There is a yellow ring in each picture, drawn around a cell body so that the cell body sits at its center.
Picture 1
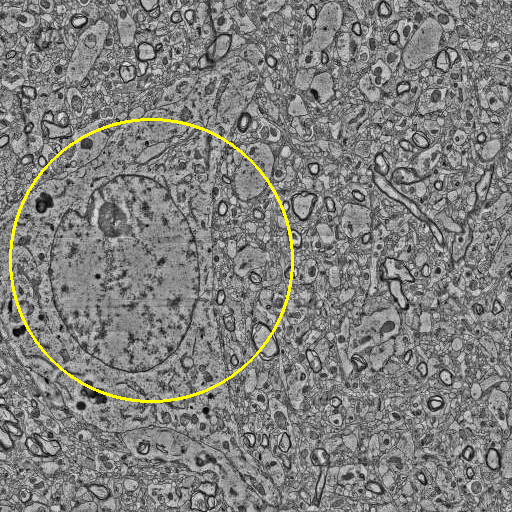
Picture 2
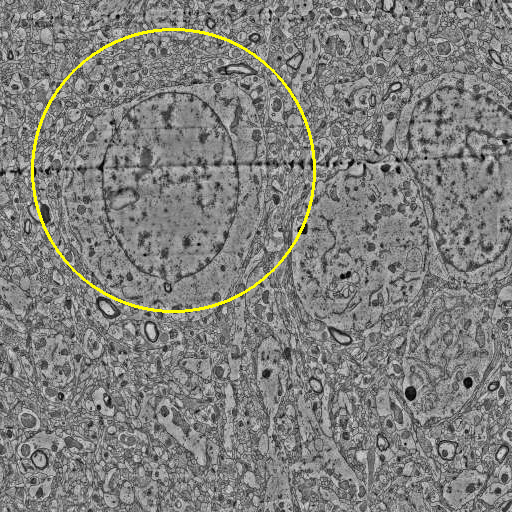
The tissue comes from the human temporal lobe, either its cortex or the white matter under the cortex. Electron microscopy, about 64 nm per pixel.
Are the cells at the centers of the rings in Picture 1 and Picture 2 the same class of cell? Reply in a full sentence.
Yes, the two cells are the same class of cell.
